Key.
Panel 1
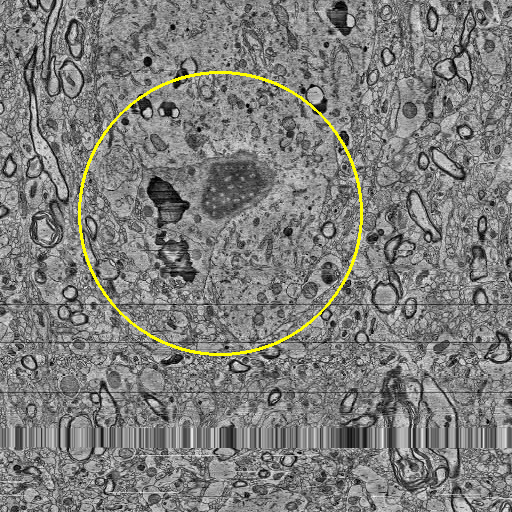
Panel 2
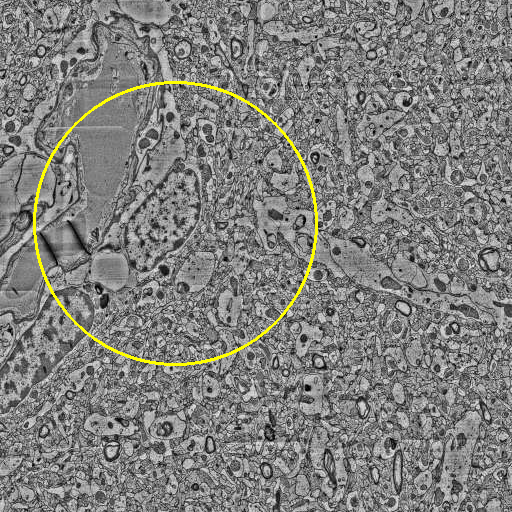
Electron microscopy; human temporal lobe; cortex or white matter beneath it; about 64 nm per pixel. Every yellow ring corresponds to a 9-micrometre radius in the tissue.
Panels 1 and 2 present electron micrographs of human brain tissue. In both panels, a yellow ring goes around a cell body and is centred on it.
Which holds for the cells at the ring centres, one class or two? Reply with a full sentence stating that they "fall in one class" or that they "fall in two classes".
Taken together, the ring-centre cells of the two panels fall in two classes.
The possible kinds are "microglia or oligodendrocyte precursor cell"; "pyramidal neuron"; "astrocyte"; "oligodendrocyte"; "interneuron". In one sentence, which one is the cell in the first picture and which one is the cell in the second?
The cell ringed in the second picture is a microglial cell or oligodendrocyte precursor cell, whereas the one ringed in the first is an oligodendrocyte.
